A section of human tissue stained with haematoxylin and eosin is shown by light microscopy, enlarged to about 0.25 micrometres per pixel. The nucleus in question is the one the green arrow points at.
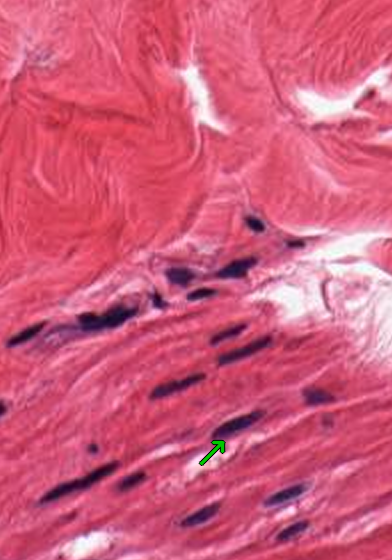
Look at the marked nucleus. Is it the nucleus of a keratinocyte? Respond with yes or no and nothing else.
no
